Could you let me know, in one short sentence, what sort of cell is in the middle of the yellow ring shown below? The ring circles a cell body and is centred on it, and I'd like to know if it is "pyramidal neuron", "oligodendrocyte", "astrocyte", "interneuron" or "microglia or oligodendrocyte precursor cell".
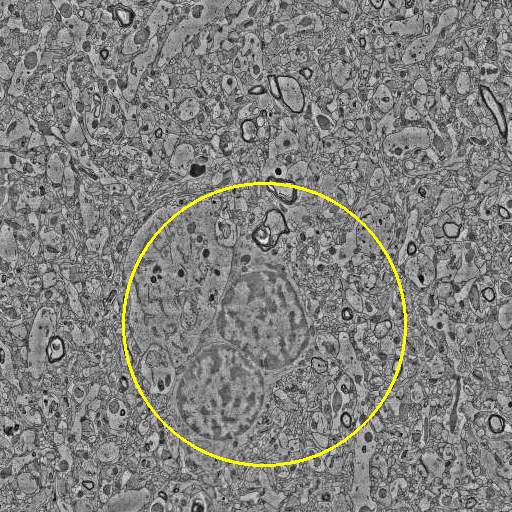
The ring circles the cell body of an oligodendrocyte.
